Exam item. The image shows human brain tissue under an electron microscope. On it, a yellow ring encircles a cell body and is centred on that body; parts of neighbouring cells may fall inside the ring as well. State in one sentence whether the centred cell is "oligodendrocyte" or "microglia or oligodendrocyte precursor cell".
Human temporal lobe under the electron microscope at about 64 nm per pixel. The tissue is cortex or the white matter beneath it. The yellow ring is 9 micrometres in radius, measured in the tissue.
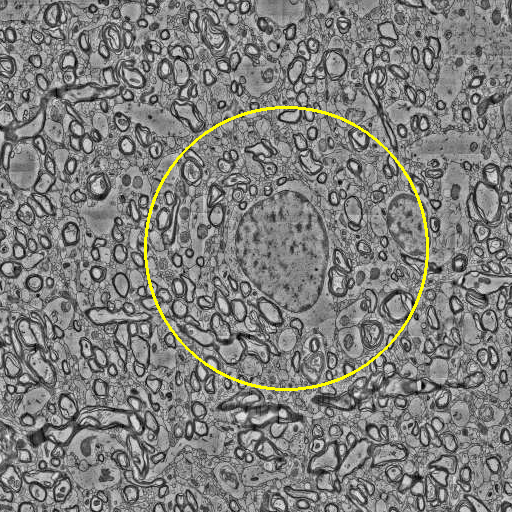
The cell body centred in the ring is a microglial cell or oligodendrocyte precursor cell.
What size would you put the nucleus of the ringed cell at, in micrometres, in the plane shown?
About 8 micrometres by about 6 micrometres in this plane.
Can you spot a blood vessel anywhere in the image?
No, there is no blood vessel in the image.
